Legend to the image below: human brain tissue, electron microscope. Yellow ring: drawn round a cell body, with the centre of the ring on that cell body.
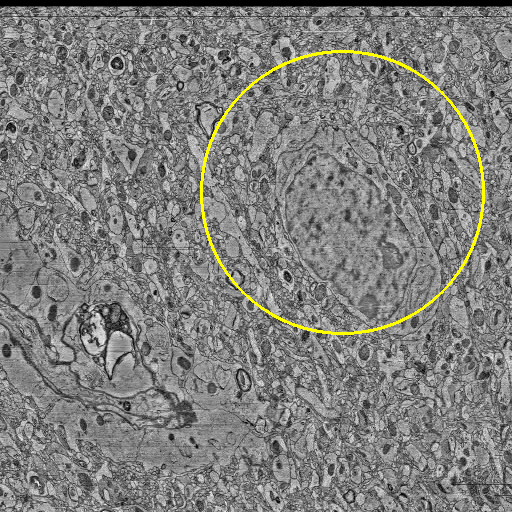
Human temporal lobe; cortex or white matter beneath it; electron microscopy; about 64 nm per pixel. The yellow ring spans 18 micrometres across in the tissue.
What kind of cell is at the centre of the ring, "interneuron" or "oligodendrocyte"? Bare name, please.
interneuron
